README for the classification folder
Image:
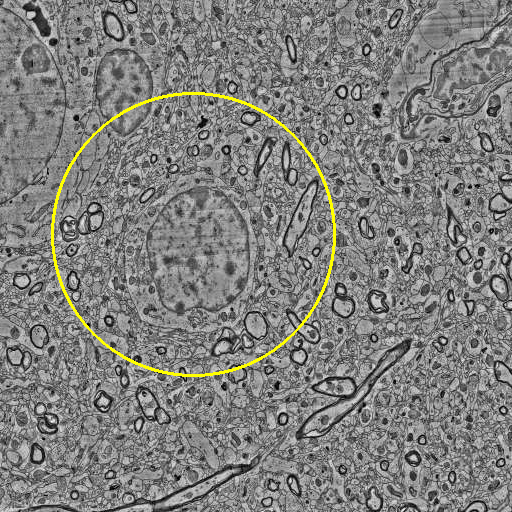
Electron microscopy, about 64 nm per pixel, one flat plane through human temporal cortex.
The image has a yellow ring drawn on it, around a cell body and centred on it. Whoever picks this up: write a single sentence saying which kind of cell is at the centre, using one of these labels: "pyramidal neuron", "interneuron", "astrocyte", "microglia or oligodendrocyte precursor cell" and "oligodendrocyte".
This cell body is that of an interneuron.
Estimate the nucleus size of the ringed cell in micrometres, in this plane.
Approximately 8 x 7 micrometres in this plane.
